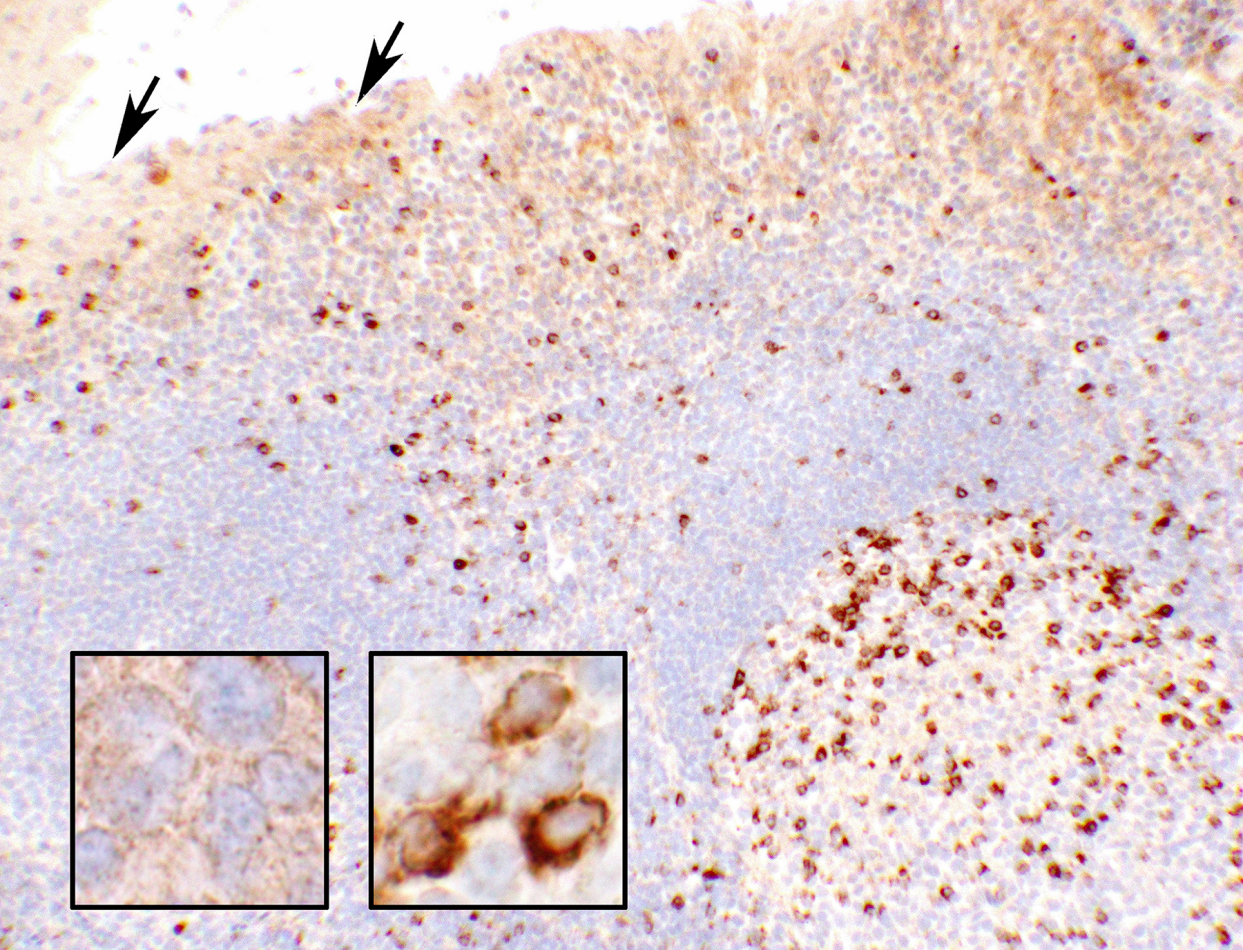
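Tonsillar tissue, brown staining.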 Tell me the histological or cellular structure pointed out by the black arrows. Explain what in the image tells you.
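The arrows point at a stratified cell layer bordering an empty space at the top. This layer carries a diffuse pale brown tint unlike the blue lymphoid tissue below. That points to this answer: squamous epithelial lining of a crypt.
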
